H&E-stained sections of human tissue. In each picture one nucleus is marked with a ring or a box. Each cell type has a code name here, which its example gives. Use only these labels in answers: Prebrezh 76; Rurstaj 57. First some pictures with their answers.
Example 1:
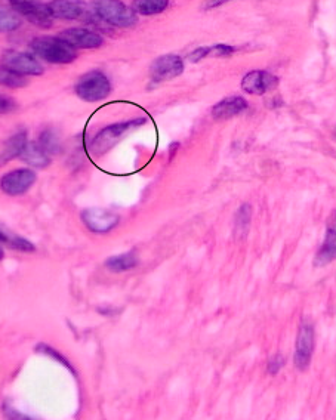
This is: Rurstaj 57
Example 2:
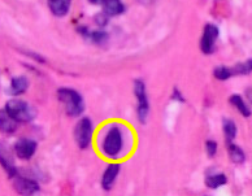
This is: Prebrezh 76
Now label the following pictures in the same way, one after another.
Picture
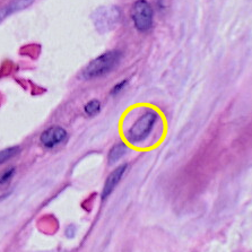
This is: Rurstaj 57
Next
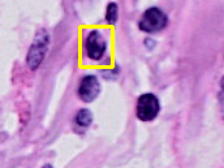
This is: Prebrezh 76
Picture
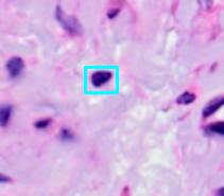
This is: Prebrezh 76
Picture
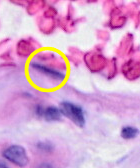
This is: Rurstaj 57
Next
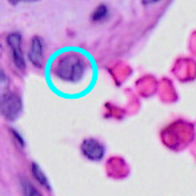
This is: Rurstaj 57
